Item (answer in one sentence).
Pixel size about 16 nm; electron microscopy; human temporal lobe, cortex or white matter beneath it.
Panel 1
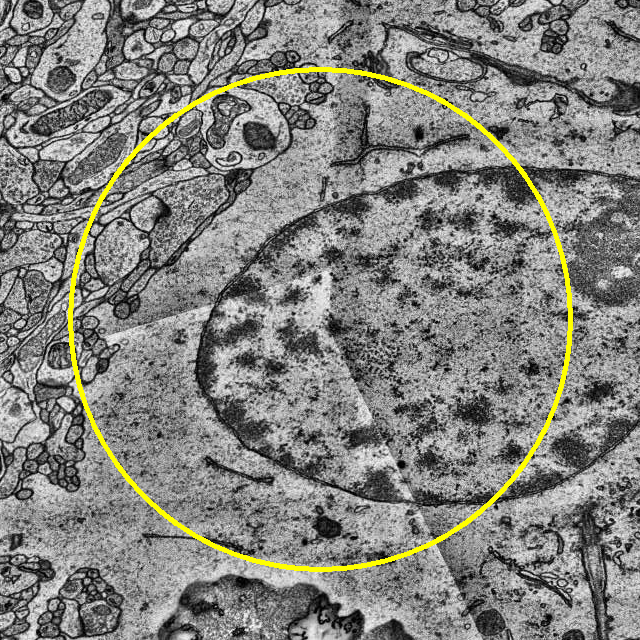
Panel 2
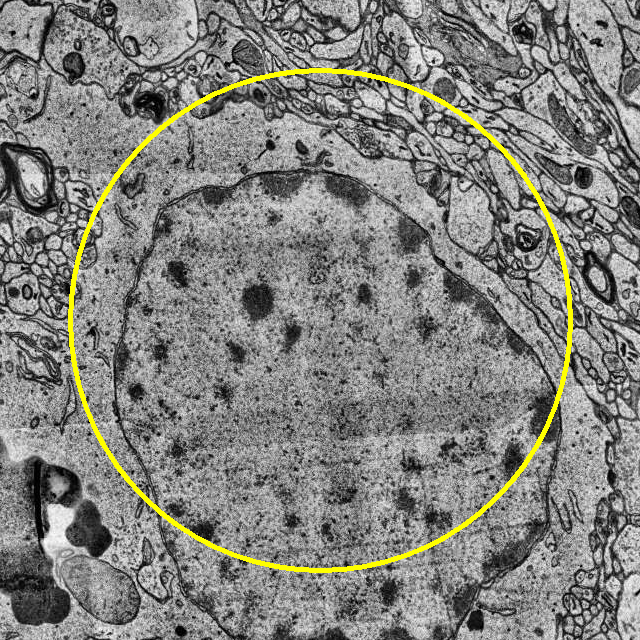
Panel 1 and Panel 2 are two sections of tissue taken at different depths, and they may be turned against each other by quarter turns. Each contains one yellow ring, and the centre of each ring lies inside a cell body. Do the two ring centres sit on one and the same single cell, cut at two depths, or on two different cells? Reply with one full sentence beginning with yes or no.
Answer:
No, two different cells are marked by the two rings.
